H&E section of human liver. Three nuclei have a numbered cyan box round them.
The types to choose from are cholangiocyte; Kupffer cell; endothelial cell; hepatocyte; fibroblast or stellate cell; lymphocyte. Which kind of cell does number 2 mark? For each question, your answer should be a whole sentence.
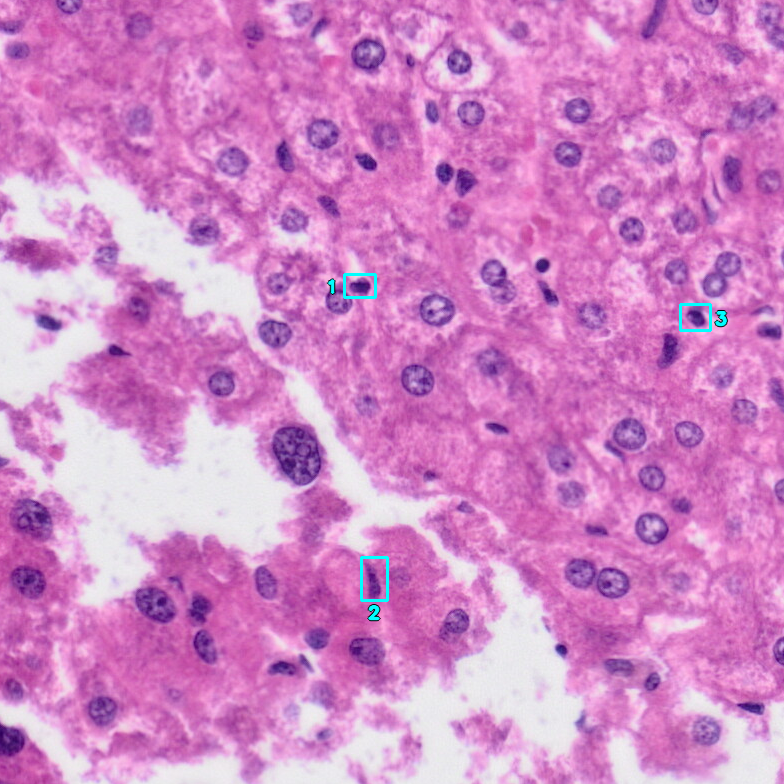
The cell given label 2 is a fibroblast or stellate cell.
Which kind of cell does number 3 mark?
In this section, number 3 marks a lymphocyte.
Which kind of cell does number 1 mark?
Number 1 among the marked cells is a lymphocyte.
